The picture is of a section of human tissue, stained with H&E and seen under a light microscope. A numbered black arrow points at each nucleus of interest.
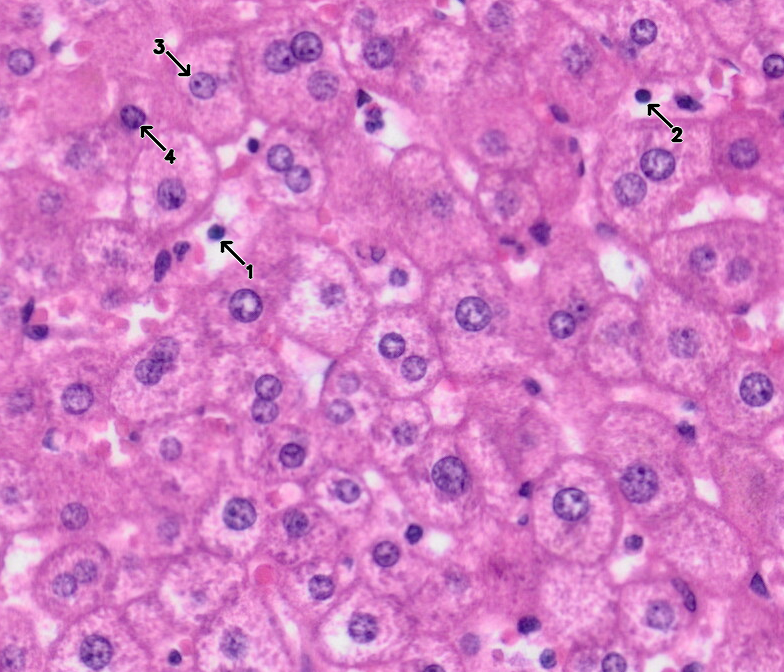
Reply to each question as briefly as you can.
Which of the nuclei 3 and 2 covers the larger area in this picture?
3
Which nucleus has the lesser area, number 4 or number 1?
1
